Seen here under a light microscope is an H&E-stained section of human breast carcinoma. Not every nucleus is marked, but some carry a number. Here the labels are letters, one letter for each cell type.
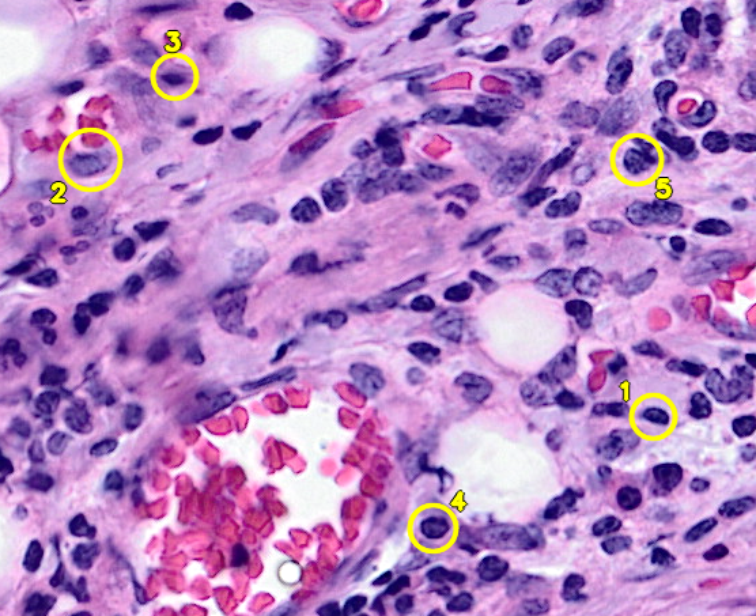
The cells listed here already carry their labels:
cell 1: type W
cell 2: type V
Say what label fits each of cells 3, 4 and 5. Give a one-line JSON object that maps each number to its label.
{"3": "type V", "4": "type W", "5": "type W"}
